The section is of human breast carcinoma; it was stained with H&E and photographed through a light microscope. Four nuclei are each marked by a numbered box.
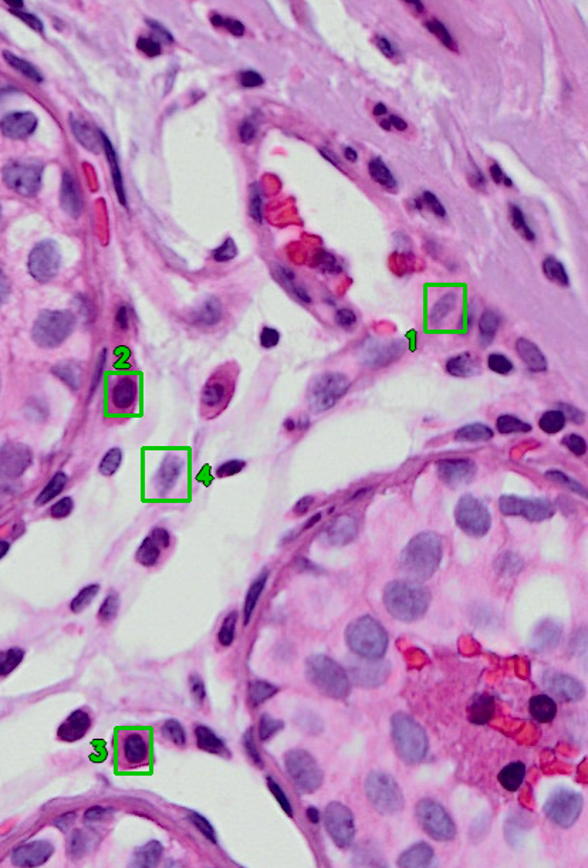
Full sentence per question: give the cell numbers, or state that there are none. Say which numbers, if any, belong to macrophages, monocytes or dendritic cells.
In this field, none of the numbered cells are macrophages, monocytes or dendritic cells.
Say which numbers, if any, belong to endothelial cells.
Cell 1 is an endothelial cell and is the only numbered cell of that kind.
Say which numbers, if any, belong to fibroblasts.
Only one of the numbered nuclei, number 4, belongs to a fibroblast.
